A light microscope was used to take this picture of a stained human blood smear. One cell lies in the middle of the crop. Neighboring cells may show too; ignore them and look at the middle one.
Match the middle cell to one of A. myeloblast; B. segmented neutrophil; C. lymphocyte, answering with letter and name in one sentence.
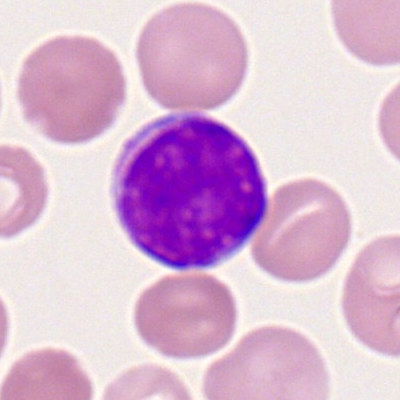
With the cell in the middle being a lymphocyte, option C is the correct choice.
